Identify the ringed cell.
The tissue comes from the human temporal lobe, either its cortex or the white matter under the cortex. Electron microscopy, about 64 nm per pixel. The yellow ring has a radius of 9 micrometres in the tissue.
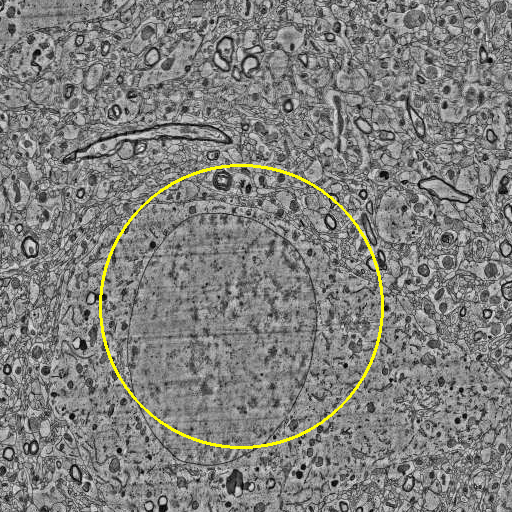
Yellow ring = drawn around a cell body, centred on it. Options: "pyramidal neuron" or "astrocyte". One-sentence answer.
What the ring is centred on is a pyramidal neuron.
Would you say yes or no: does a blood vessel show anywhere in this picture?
Yes, there is a blood vessel in the image.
